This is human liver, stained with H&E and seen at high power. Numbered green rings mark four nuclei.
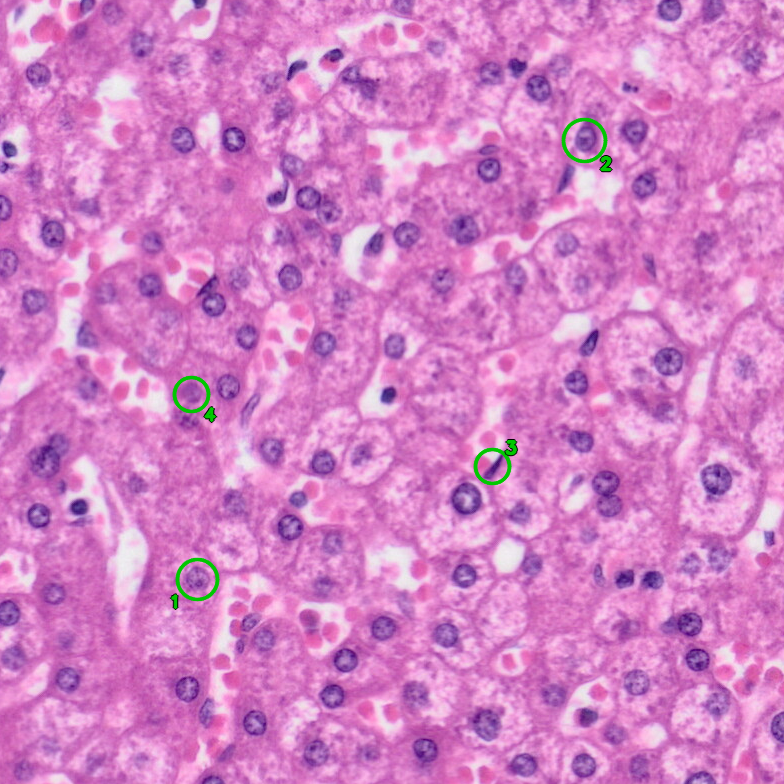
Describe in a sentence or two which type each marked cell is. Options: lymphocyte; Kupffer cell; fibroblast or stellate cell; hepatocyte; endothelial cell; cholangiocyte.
Cell 1 is a hepatocyte, cell 2 is a hepatocyte, cell 3 is an endothelial cell and cell 4 is a hepatocyte.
